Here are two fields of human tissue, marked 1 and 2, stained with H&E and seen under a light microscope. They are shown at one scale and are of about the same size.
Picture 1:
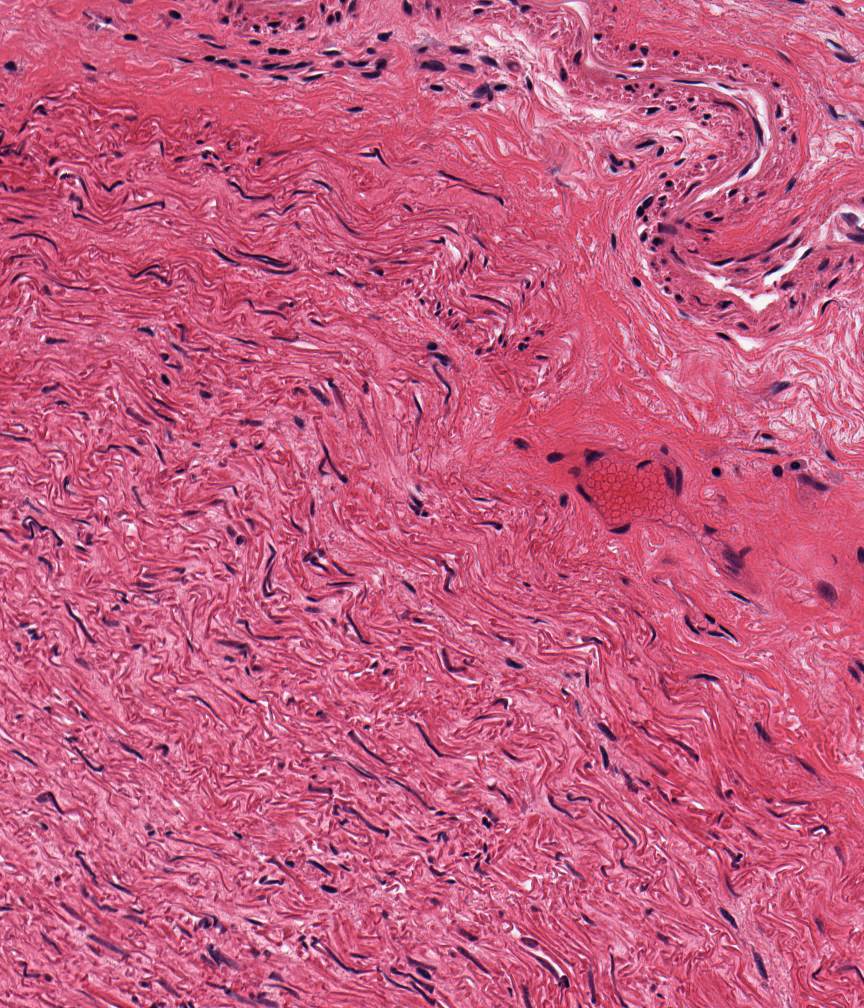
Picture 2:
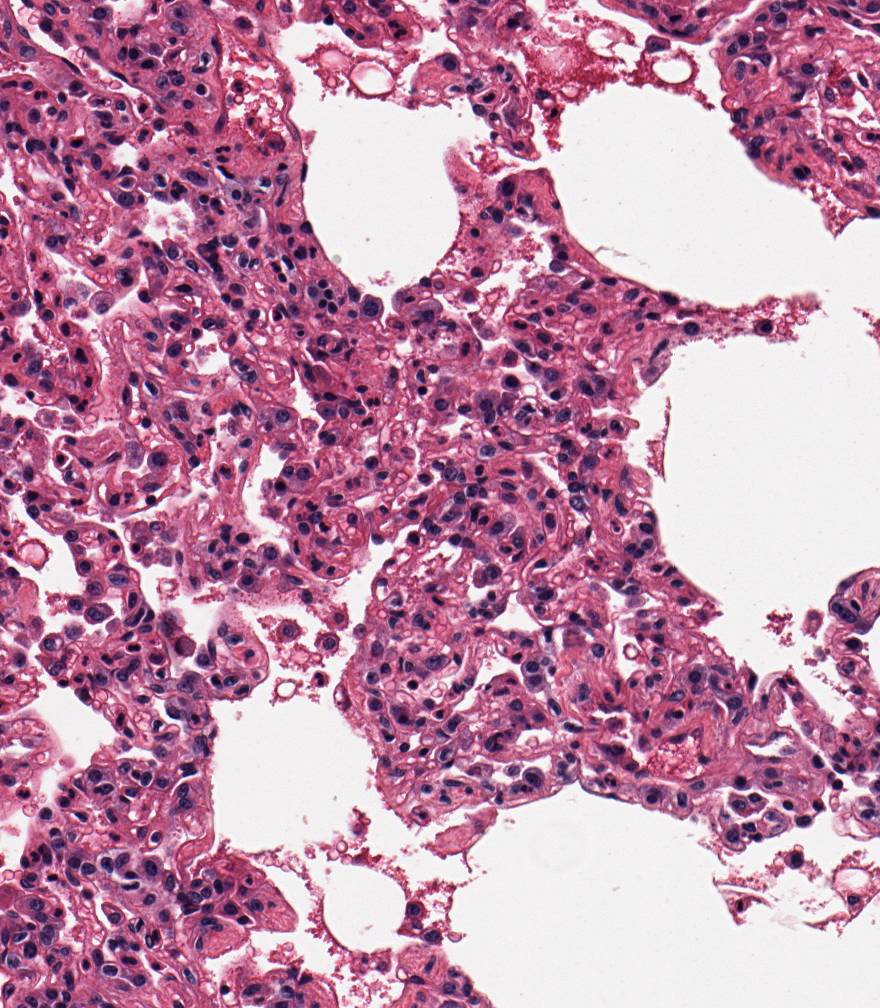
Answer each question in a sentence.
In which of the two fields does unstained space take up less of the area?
Less of picture 1 is empty and white.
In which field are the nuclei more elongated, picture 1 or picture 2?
On the whole the nuclei of picture 1 are more drawn out than those of picture 2.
